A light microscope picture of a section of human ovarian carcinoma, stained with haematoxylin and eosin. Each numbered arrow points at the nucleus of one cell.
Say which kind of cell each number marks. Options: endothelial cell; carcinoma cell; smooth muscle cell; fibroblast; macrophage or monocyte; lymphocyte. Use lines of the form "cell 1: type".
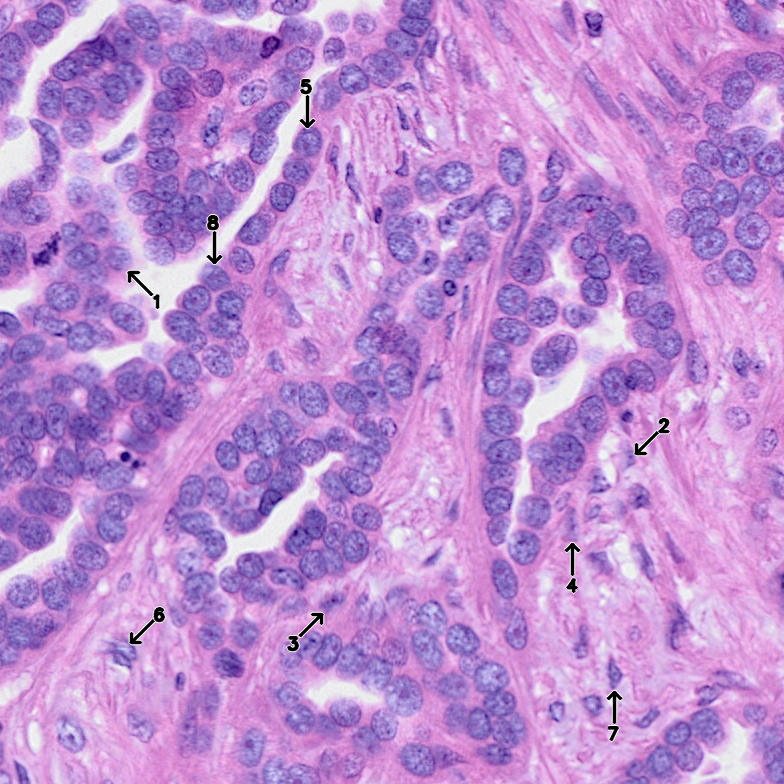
cell 1: carcinoma cell
cell 2: fibroblast
cell 3: fibroblast
cell 4: fibroblast
cell 5: carcinoma cell
cell 6: fibroblast
cell 7: fibroblast
cell 8: carcinoma cell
